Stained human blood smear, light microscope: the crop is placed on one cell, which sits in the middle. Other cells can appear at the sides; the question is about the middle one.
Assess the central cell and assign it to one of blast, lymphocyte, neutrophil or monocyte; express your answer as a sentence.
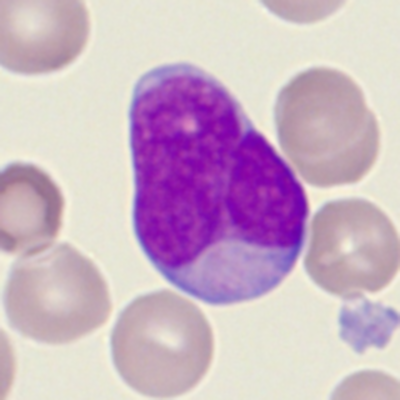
In this crop, the cell at the very middle is a blast.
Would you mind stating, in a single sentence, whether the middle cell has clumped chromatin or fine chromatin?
Answer: the chromatin is fine and has no coarse clumps.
